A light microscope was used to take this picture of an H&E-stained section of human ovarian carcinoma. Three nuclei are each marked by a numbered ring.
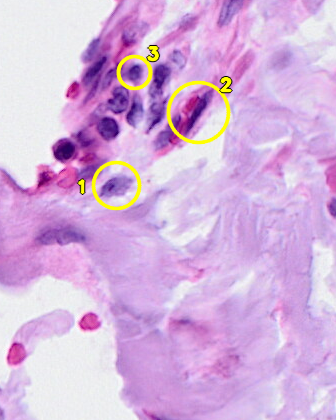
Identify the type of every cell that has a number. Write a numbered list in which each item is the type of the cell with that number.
1. fibroblast
2. endothelial cell
3. lymphocyte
